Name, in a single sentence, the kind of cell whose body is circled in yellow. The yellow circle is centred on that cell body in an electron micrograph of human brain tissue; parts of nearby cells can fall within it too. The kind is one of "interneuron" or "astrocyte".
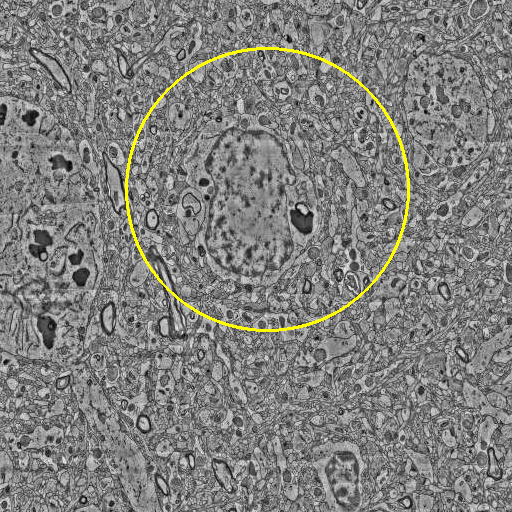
The circled cell body belongs to an interneuron.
